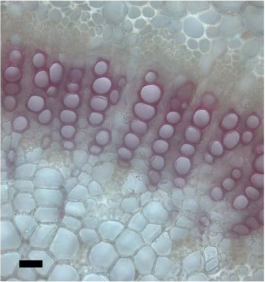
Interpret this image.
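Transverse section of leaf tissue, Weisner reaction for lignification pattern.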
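This is a vascular region of a leaf in cross-section, where the primary xylem elements stand in radial rows, their walls stained pink-red while their rounded lumens remain clear. The rows fan out side by side, with the larger elements at one end of each file, and they are flanked by colourless, thin-walled cells of rounder or polygonal outline.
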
